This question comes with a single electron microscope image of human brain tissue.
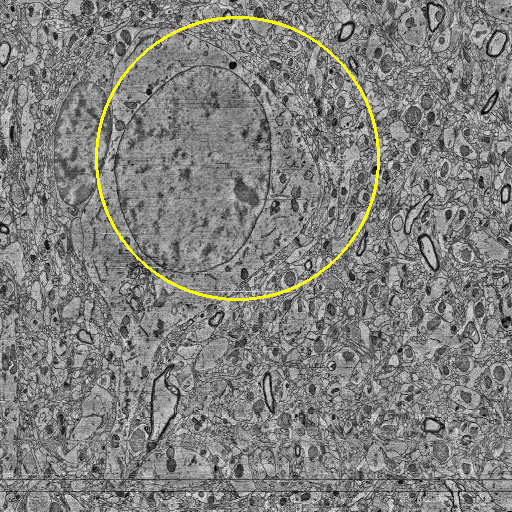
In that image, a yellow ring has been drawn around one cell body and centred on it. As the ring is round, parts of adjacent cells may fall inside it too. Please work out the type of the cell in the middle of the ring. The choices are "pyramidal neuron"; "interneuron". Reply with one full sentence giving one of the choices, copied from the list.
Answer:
Of the choices, a pyramidal neuron is the cell sitting in the middle of the ring.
